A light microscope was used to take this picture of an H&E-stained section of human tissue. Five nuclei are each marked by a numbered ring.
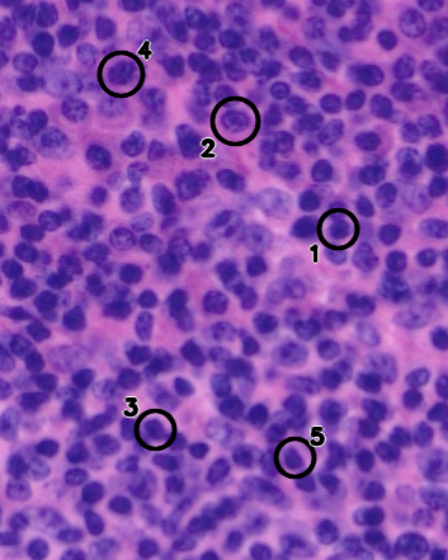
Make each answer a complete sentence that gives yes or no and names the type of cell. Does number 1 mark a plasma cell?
No, that is wrong: cell 1 is a small lymphocyte, and not a plasma cell.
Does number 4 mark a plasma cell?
Yes, the numbered nucleus 4 is that of a plasma cell.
